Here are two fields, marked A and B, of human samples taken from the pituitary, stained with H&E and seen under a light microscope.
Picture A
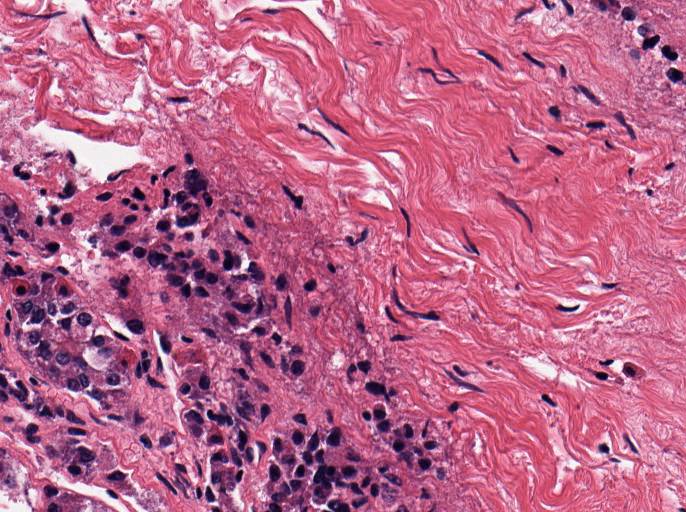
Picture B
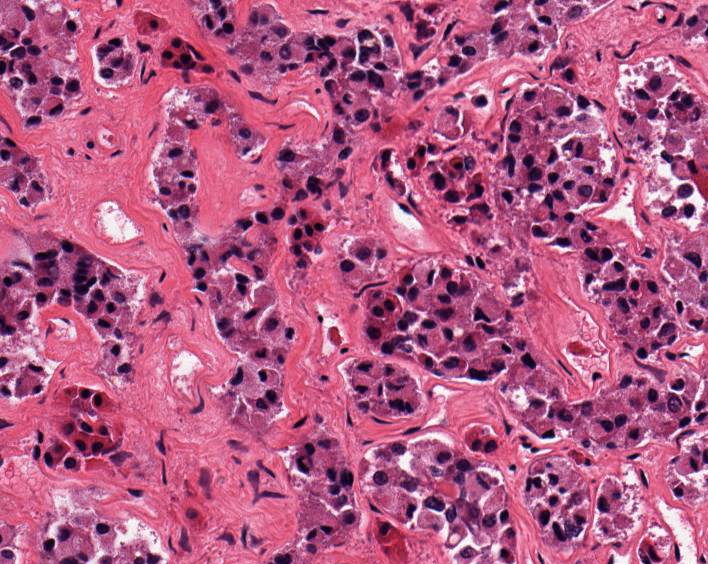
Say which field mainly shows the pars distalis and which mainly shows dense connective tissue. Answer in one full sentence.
Picture A mainly shows dense connective tissue and picture B mainly shows the pars distalis.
